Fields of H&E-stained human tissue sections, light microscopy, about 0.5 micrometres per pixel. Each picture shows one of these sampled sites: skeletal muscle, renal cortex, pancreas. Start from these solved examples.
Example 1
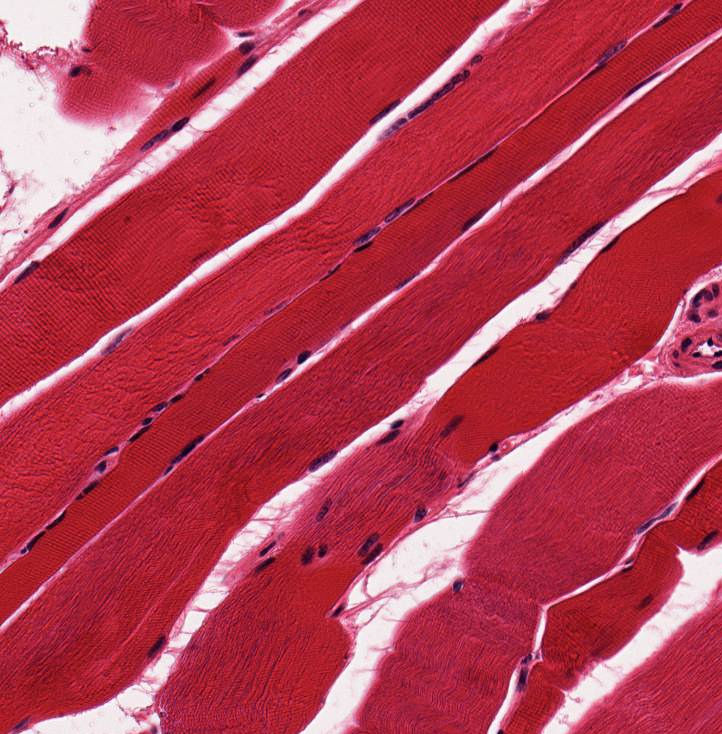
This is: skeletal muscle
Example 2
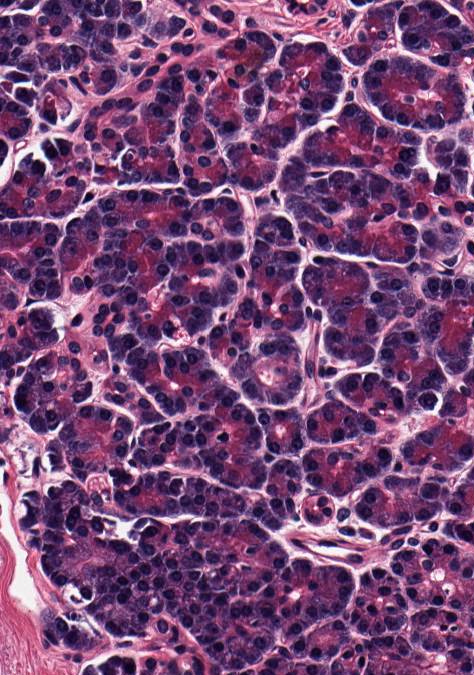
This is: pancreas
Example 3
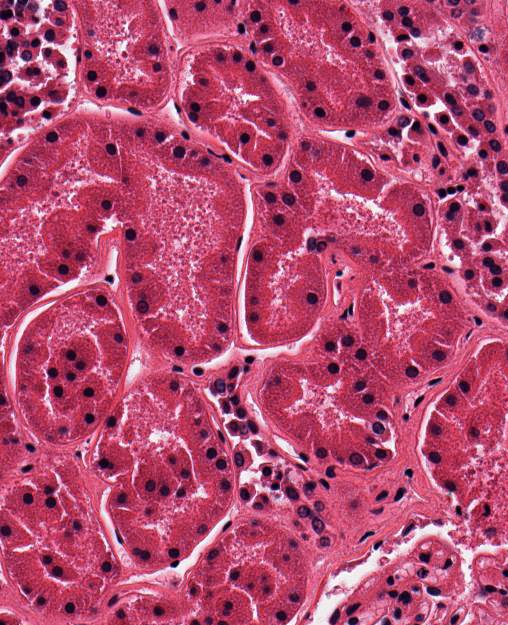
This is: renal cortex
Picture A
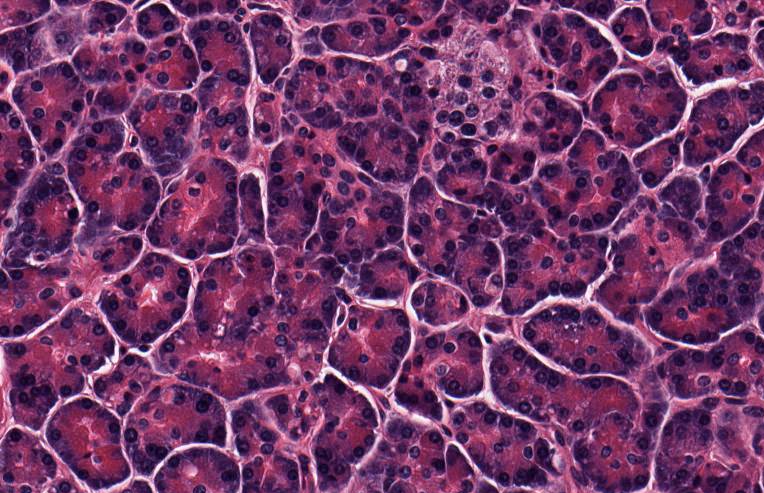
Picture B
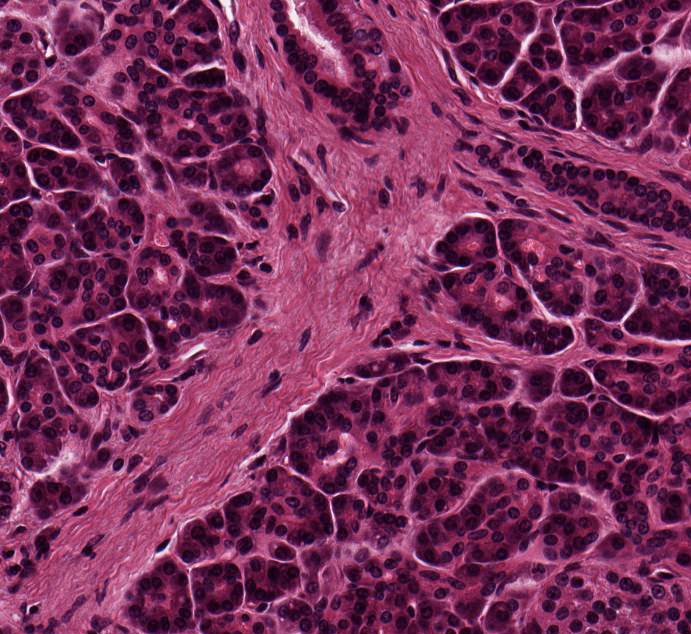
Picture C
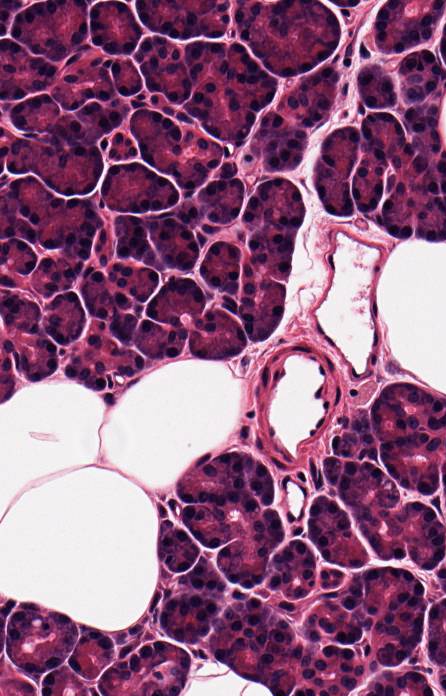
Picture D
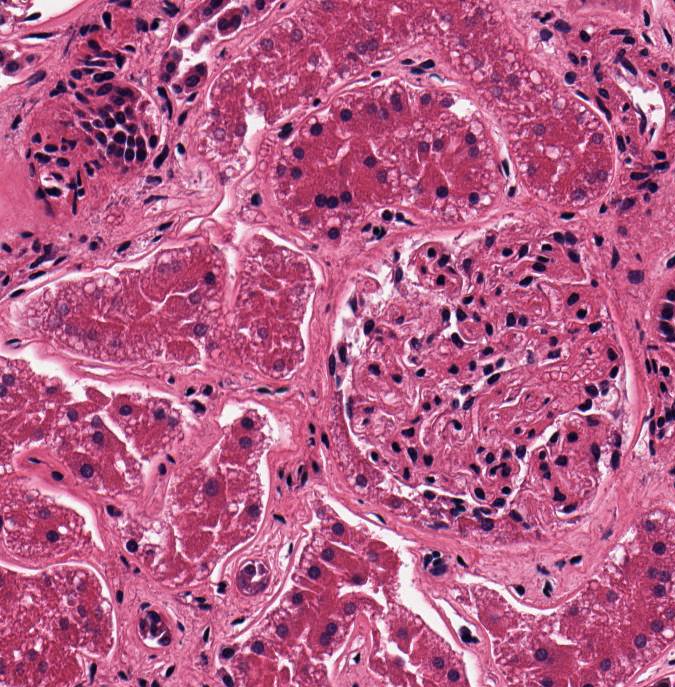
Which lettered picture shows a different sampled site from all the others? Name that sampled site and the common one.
Odd one out: D (renal cortex). The rest: pancreas.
